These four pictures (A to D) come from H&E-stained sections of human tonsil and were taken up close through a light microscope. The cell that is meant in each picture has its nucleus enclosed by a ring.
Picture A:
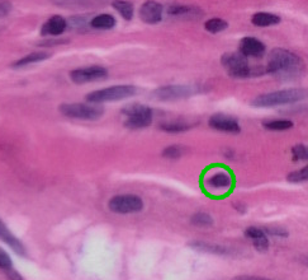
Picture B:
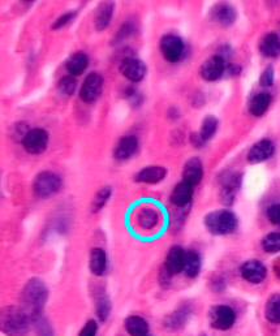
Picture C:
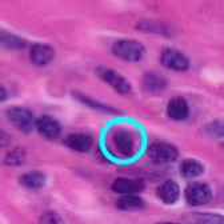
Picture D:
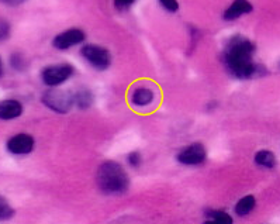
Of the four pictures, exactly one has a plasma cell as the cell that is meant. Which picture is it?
C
